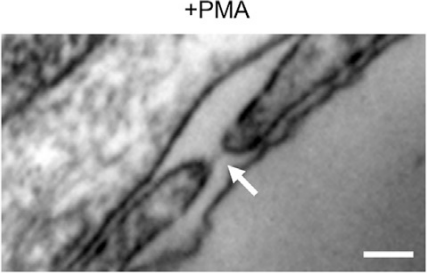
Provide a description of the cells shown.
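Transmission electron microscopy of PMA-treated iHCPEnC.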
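Thin, elongated sheets of cytoplasm run diagonally across the field, each bounded by dark membranes on both sides, with pale extracellular space between and beside them. The sheets are attenuated, in places barely thicker than their two membranes, and contain granular material. At one point a sheet thins abruptly and the cytoplasm is interrupted, leaving a narrow pore spanned only by membrane between the two sides. This is a fenestral structure in the attenuated periphery of an endothelial cell.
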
